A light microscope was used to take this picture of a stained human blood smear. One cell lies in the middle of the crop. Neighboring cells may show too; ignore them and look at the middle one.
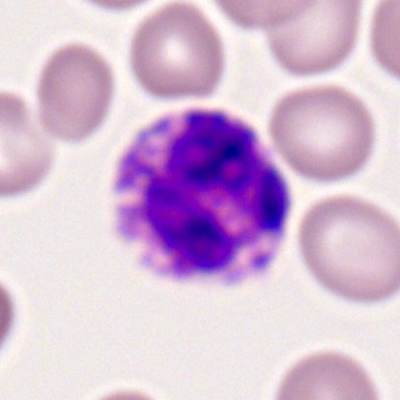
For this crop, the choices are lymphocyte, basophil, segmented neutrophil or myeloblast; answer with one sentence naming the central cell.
Centrally within this crop lies a basophil.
